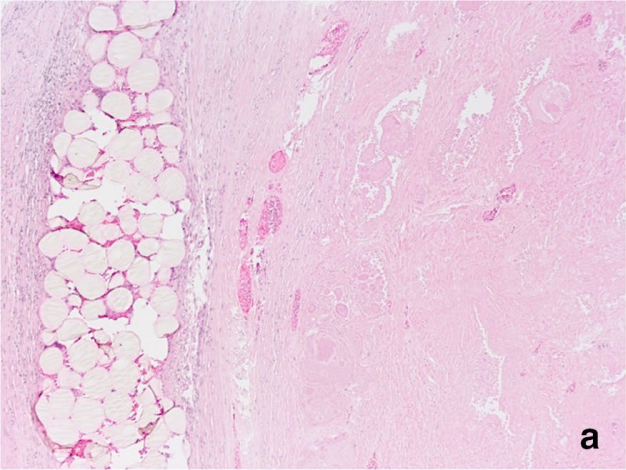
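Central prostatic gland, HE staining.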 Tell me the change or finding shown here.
Extensive necrosis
